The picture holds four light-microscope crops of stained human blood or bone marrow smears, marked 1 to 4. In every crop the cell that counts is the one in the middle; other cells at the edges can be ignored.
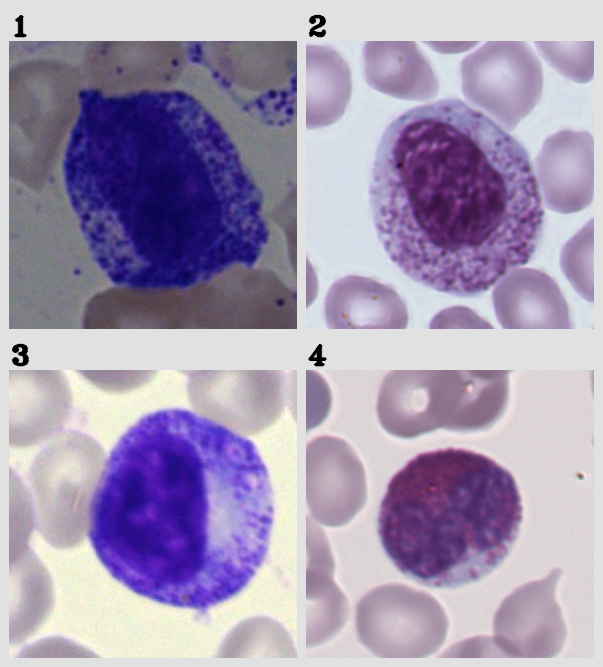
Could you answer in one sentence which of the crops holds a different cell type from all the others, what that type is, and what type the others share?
All the crops show myelocytes except crop 4, which shows an eosinophil.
